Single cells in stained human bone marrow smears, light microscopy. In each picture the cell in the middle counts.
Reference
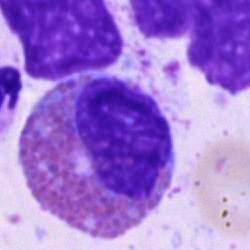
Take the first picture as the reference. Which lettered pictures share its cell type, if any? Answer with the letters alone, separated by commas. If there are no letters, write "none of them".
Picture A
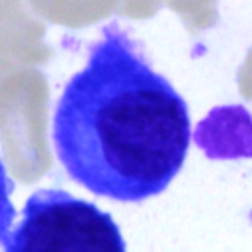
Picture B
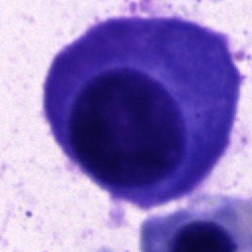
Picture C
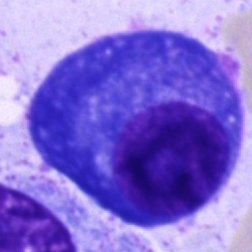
none of them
